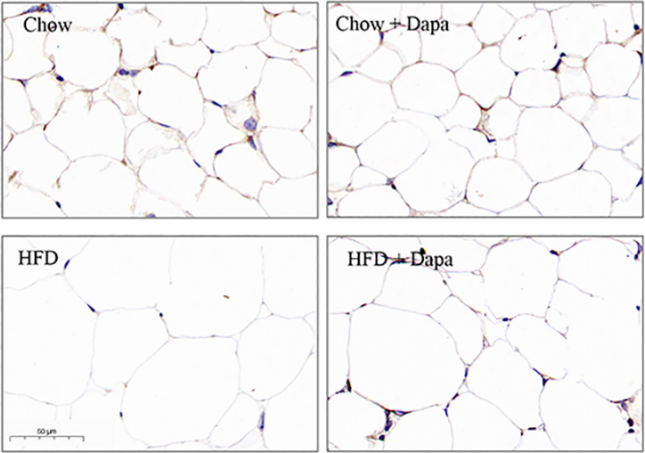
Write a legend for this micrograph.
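Four fields of adipose tissue made up of large, empty-looking adipocytes bounded by thin membranes, with small blue nuclei at the cell edges and in the spaces between cells. Faint light brown staining runs along the cell borders and in the small stromal areas in three of the fields. In the lower left field the adipocytes are larger and their borders are almost free of brown staining.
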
